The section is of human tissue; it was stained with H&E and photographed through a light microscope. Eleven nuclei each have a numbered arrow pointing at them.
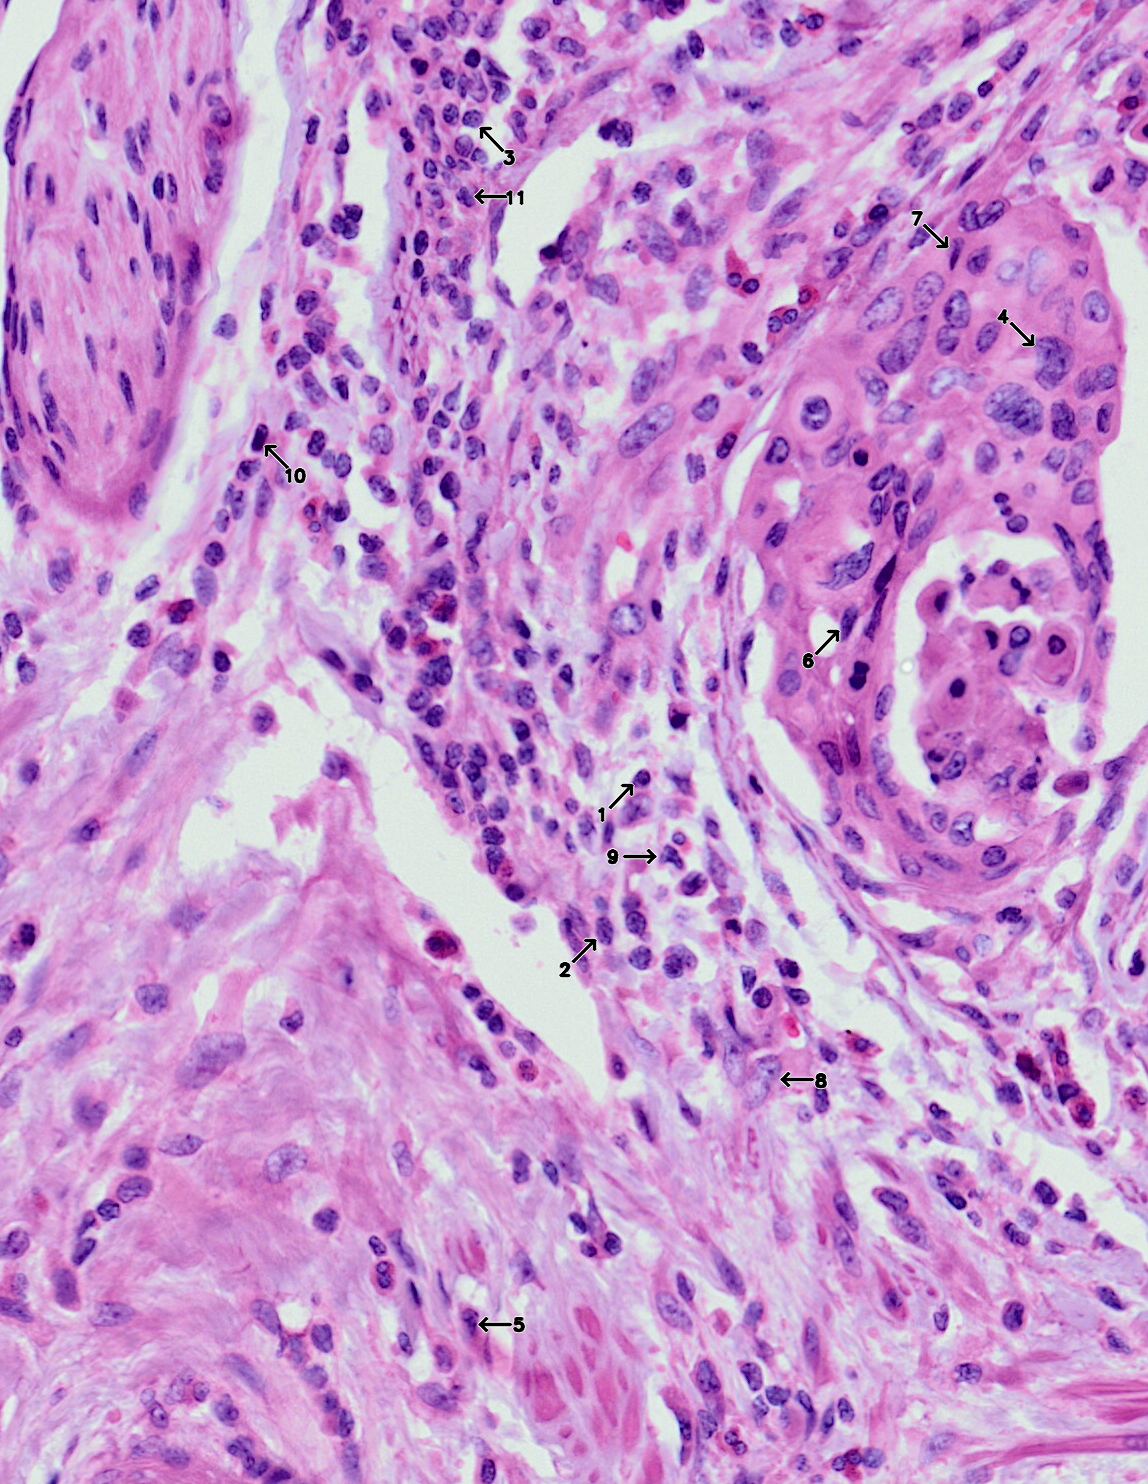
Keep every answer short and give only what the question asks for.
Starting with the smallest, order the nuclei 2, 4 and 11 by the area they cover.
11, 2, 4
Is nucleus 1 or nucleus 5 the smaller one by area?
1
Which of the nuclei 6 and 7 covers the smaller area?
7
